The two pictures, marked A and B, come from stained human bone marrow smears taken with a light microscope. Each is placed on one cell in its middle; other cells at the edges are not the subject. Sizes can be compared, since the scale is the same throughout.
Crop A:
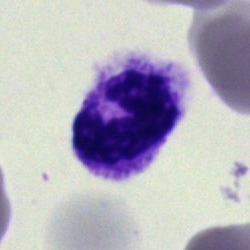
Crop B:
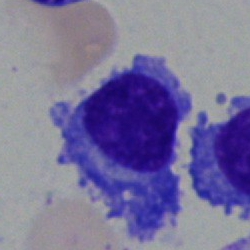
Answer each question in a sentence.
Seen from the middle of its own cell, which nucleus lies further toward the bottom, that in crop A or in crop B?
The nucleus in crop A lies further toward the bottom of its cell.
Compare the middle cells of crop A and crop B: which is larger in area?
It is the cell in crop B, about 1.5 times as large in area as the cell in crop A.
